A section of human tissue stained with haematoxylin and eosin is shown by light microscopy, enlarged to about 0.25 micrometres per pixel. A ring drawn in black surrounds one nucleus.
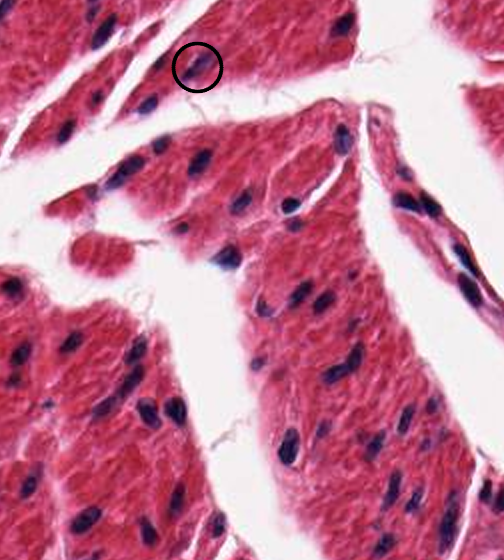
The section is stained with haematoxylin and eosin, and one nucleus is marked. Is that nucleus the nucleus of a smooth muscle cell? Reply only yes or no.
yes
